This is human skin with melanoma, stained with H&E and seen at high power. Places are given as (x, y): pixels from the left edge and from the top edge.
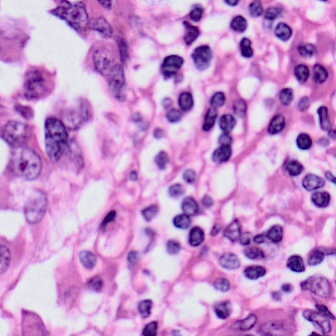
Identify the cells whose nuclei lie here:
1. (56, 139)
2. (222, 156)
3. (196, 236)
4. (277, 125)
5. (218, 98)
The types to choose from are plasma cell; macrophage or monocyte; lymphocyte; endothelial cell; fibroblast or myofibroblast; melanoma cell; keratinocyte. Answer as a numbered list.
1. melanoma cell
2. lymphocyte
3. lymphocyte
4. plasma cell
5. lymphocyte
